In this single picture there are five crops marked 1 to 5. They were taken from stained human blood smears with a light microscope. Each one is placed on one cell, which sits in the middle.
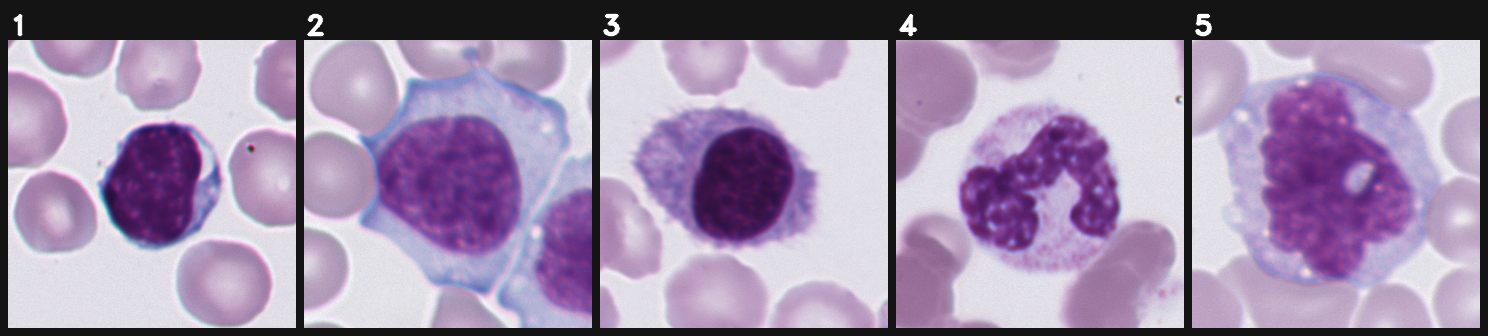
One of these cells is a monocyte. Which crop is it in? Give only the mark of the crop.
5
